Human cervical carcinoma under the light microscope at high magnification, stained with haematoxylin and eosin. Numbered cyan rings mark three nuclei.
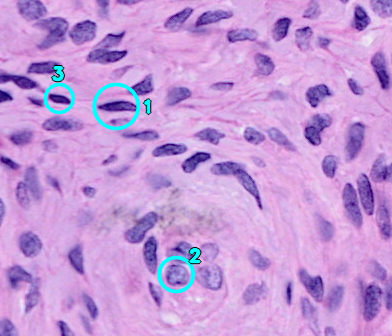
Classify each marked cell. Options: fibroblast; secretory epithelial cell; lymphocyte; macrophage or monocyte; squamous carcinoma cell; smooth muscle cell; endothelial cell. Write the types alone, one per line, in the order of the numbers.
fibroblast
endothelial cell
fibroblast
